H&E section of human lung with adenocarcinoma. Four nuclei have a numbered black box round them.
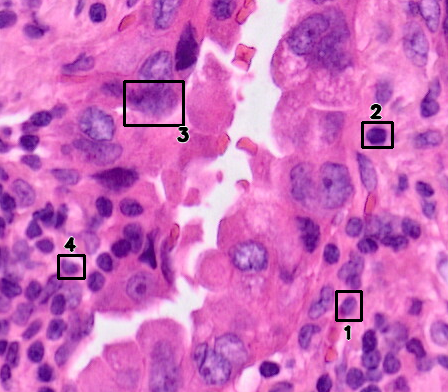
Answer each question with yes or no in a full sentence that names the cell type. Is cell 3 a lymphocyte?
No, at number 3 sits a carcinoma cell, not a lymphocyte.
